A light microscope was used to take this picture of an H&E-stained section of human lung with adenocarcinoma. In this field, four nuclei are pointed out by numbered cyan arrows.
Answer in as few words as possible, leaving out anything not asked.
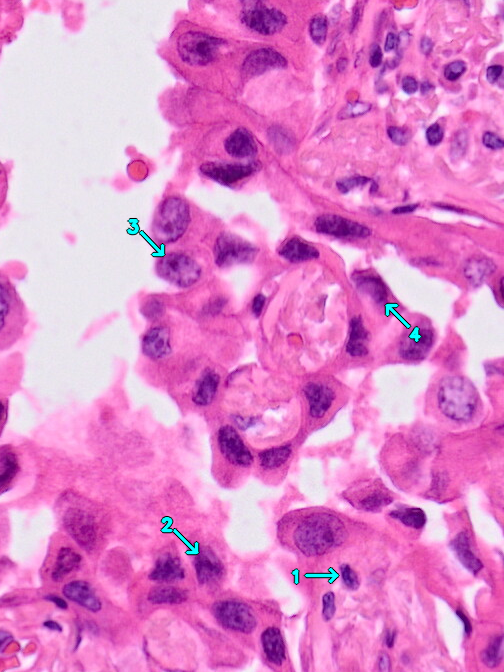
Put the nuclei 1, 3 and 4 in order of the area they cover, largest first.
3, 4, 1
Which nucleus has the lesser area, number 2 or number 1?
1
